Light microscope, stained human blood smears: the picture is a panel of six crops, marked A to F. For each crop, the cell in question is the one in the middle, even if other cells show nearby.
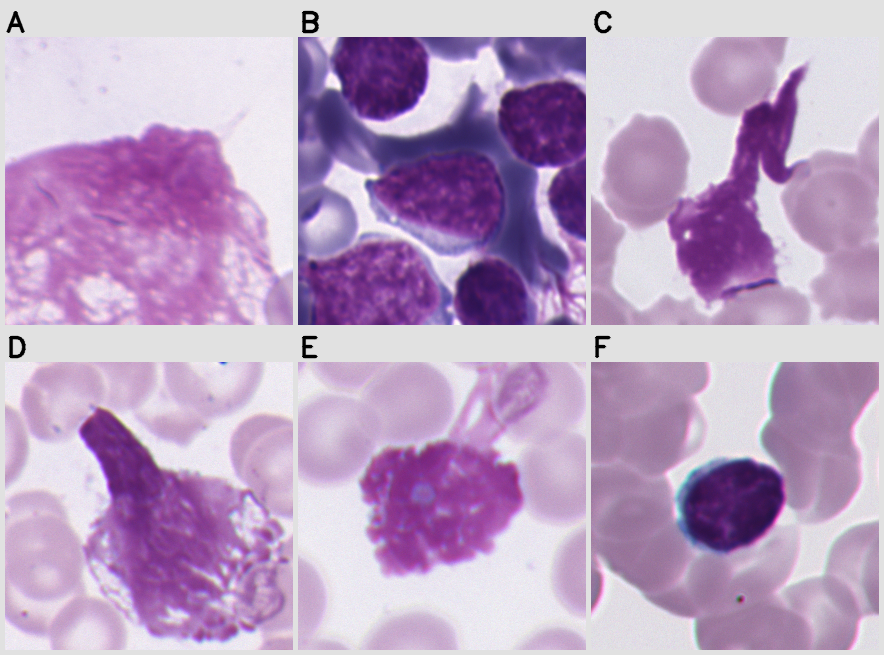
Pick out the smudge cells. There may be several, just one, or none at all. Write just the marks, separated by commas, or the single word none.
A, C, D, E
